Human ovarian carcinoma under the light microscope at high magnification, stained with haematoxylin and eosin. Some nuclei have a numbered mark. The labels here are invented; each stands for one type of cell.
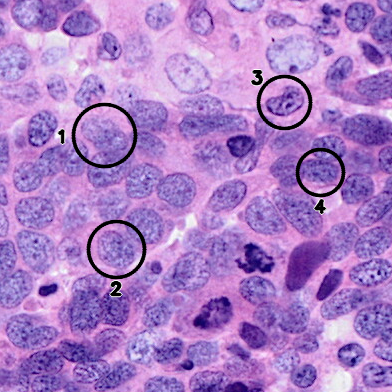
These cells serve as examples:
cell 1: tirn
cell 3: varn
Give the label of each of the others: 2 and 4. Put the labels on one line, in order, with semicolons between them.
tirn; tirn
